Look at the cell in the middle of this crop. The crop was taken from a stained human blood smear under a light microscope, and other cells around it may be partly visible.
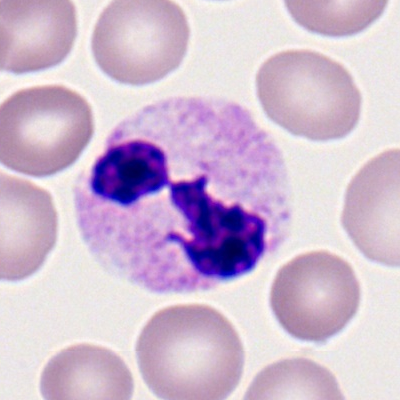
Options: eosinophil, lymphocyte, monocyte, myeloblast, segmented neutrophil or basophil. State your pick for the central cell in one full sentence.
As for the cell in the middle, it is a segmented neutrophil.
